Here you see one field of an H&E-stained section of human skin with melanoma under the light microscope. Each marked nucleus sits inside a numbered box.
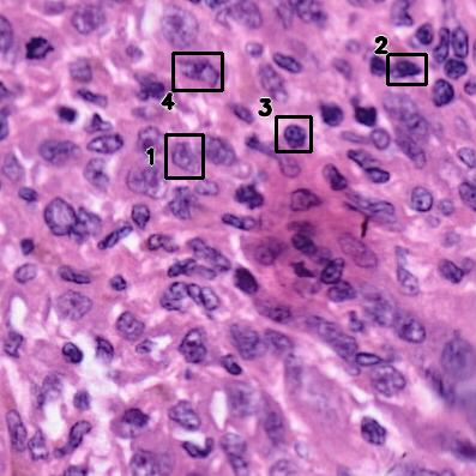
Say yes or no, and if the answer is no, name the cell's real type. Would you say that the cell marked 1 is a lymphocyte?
No, it is a melanoma cell.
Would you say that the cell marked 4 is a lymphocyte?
No, it is a melanoma cell.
